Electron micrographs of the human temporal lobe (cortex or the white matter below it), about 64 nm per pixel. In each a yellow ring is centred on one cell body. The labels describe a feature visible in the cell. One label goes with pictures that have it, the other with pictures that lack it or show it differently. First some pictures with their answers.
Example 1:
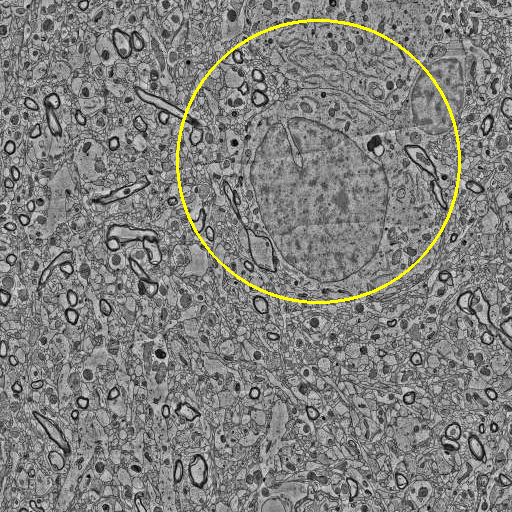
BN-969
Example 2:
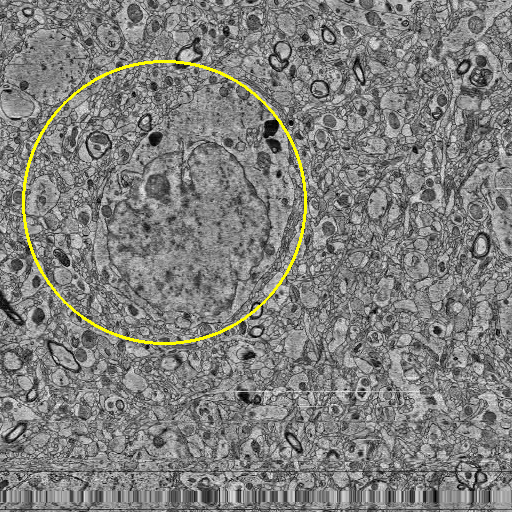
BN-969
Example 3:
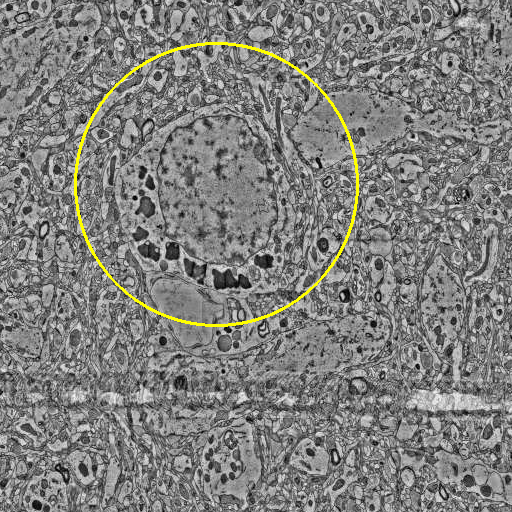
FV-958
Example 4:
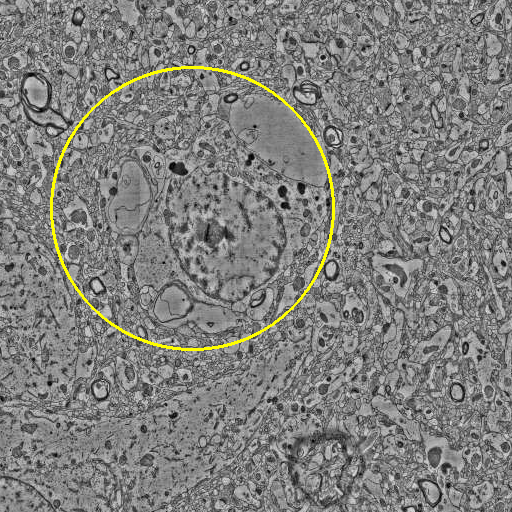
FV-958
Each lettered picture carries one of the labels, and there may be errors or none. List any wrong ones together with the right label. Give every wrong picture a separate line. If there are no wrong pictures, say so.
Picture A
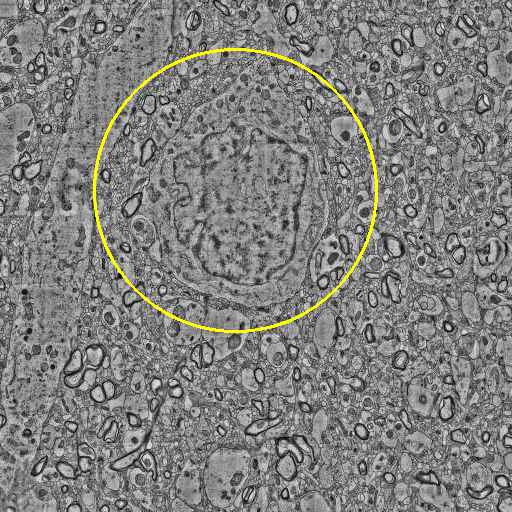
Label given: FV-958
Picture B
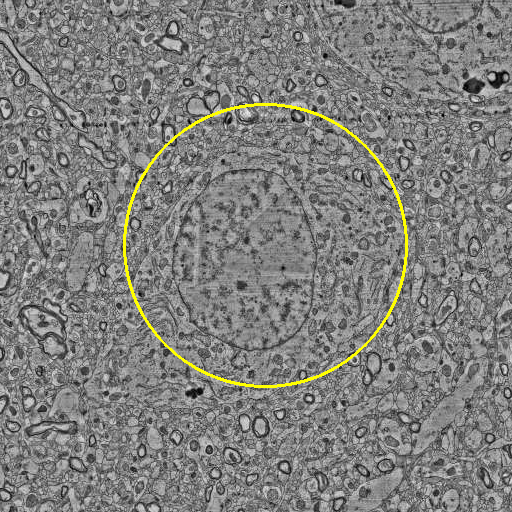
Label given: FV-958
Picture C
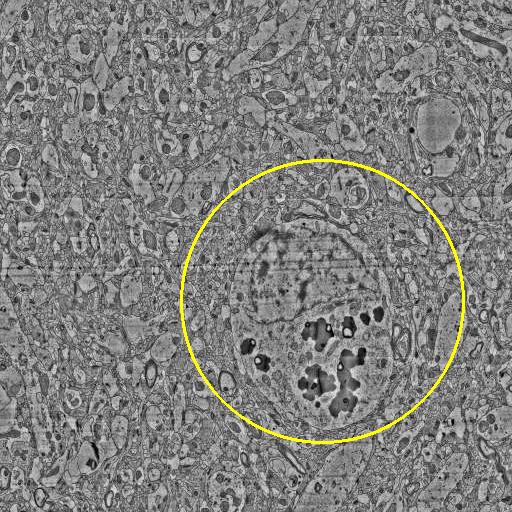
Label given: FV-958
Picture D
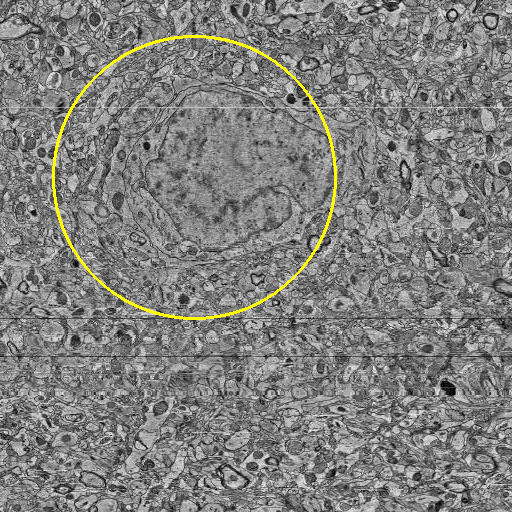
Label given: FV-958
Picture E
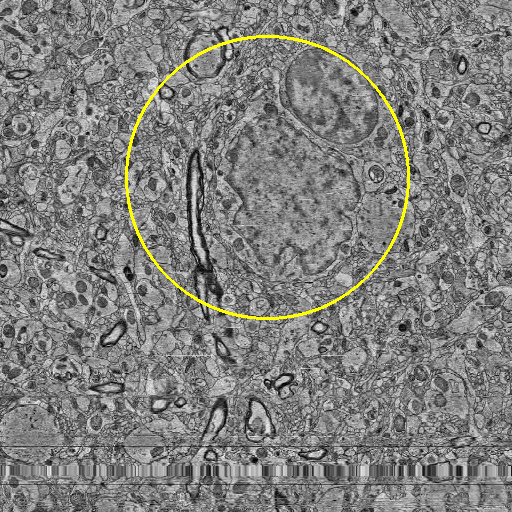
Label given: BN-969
A: BN-969, not FV-958
D: BN-969, not FV-958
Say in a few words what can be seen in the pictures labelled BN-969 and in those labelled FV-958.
In BN-969: deeply folded or indented nuclear envelopes. In FV-958: smooth nuclear envelopes without deep folds.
